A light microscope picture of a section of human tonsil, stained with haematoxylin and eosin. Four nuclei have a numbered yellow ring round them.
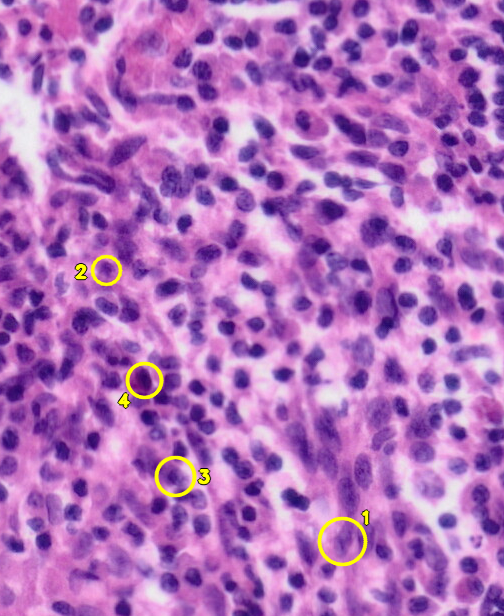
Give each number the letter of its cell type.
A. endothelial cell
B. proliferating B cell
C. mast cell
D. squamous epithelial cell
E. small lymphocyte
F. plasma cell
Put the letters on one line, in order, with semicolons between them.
D; D; D; F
